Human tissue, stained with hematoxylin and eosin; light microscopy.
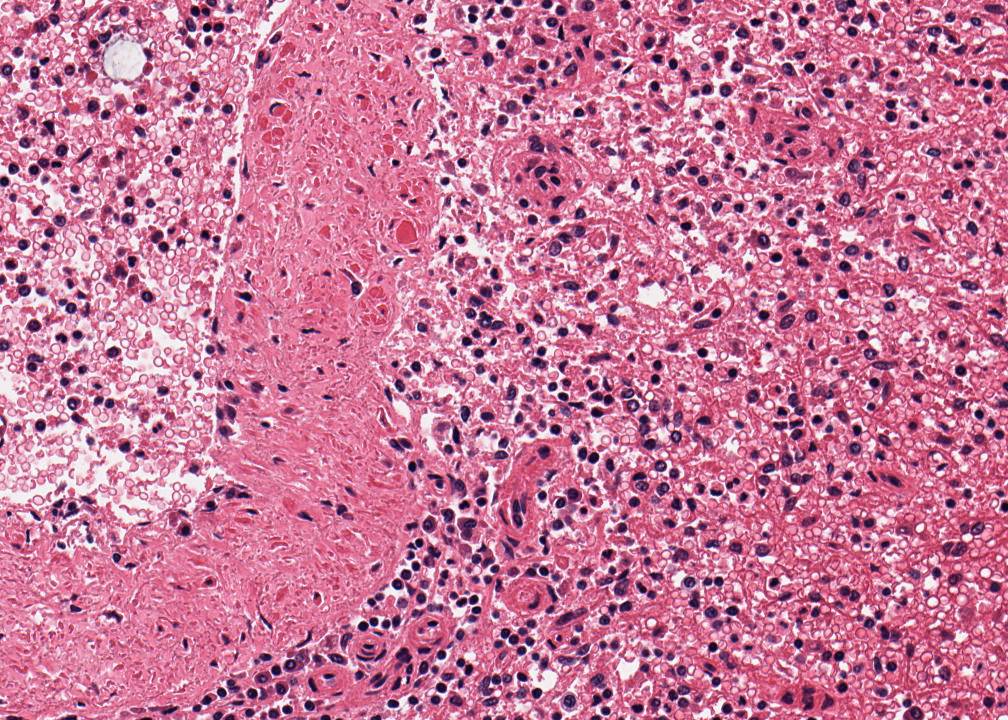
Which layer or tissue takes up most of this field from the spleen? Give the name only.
red pulp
